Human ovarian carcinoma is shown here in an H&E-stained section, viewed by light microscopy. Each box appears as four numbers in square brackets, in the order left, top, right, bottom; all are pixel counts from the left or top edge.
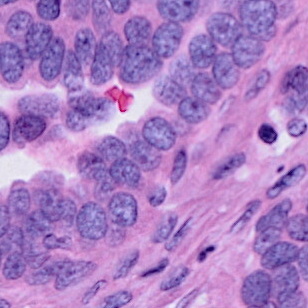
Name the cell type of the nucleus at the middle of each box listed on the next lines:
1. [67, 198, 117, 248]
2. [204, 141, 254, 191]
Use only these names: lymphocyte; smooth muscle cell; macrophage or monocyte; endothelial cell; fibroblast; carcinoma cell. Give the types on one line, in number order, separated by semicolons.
carcinoma cell; fibroblast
